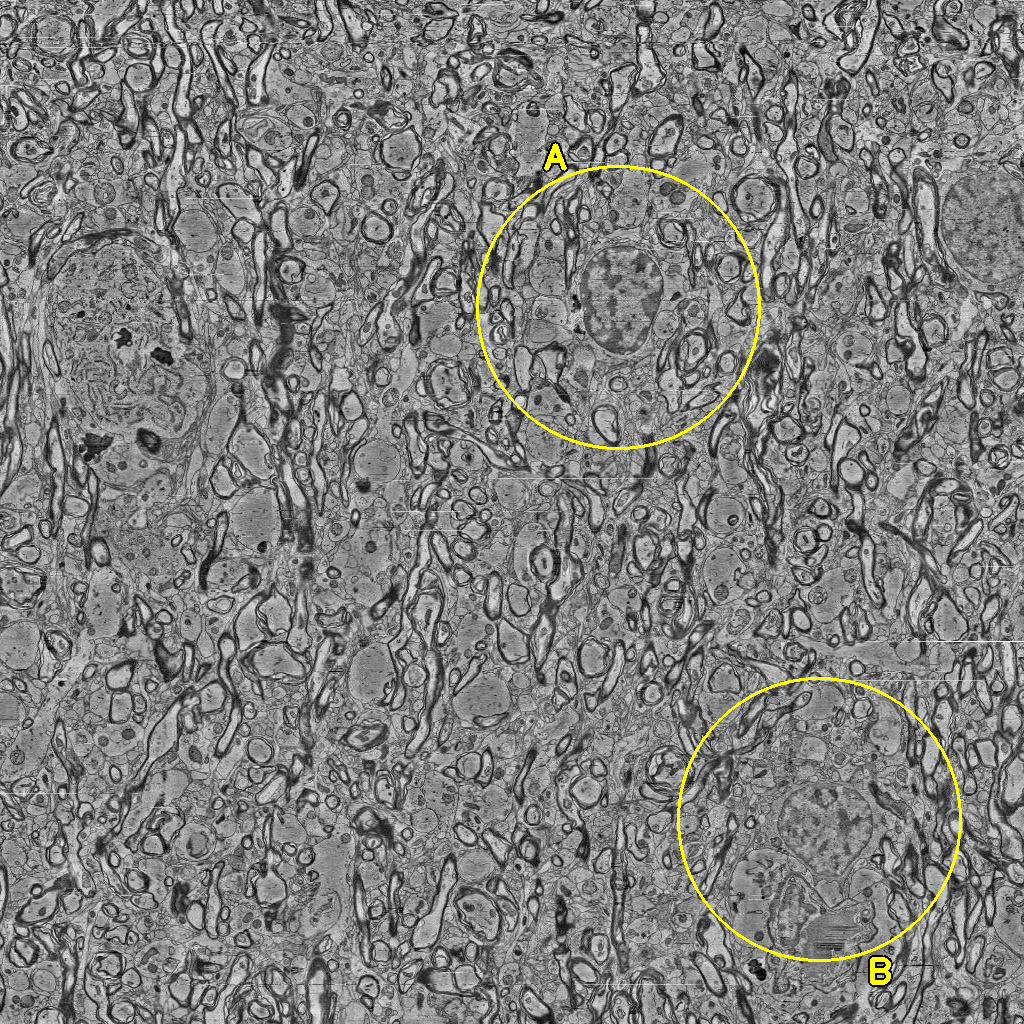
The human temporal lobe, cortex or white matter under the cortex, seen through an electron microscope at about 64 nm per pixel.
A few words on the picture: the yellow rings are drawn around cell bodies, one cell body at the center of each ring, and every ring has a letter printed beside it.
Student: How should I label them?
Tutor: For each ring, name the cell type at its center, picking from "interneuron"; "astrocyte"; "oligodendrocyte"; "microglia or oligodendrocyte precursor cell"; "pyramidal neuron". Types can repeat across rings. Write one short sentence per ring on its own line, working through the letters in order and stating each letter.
In ring A, the central cell is a microglial cell or oligodendrocyte precursor cell.
In ring B, the central cell is an oligodendrocyte.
